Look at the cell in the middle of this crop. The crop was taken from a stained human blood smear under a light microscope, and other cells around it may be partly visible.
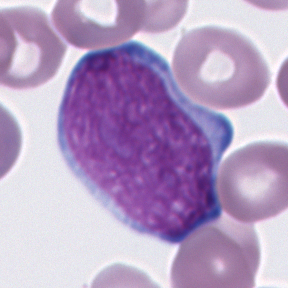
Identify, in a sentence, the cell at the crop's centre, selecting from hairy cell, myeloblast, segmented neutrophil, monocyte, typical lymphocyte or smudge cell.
Among the cells in view, the one in the middle is a myeloblast.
